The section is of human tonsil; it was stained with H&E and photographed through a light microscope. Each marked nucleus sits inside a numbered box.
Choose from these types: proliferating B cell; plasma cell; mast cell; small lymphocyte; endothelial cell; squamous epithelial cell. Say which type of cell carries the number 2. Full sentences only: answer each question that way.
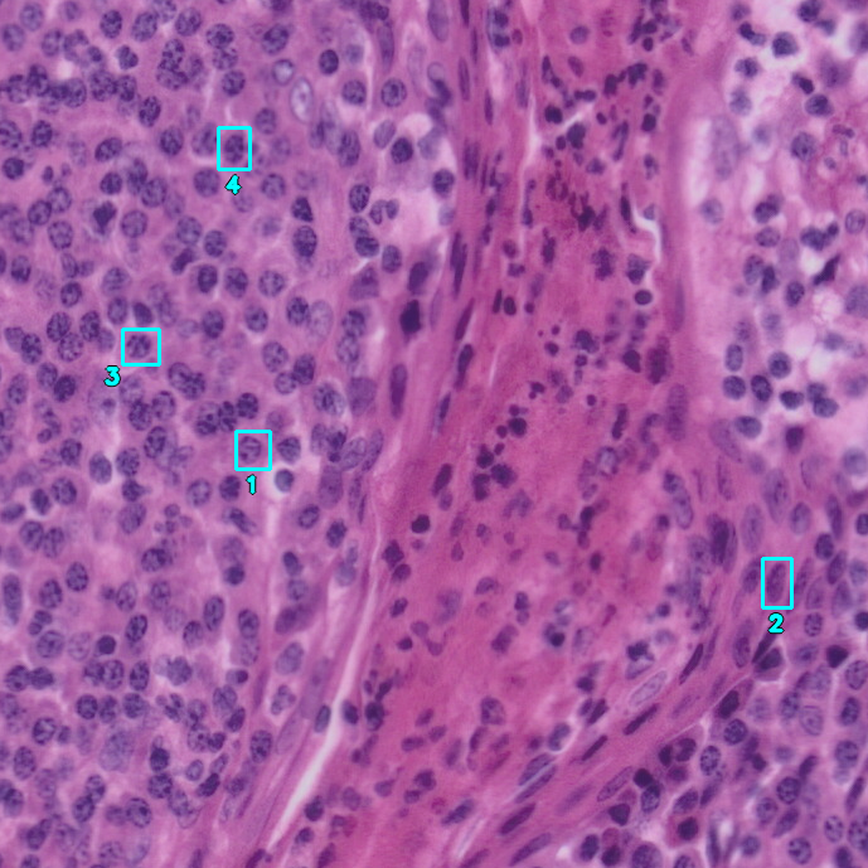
Of the numbered cells, the one labelled 2 is a squamous epithelial cell.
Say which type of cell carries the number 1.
The correct label for cell 1 is a plasma cell.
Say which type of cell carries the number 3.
The numbered cell 3 is identified here as a plasma cell.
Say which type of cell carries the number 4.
The cell referred to as 4 is a plasma cell.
